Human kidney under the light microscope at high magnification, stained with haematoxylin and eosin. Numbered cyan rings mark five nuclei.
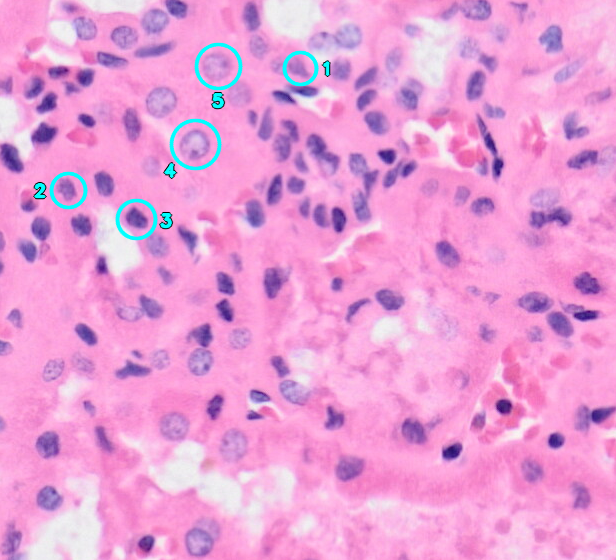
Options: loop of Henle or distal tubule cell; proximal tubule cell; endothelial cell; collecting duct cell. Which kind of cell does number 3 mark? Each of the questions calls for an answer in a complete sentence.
The numeral 3 marks a loop of Henle or distal tubule cell in this section.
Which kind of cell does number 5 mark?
The marked cell with the number 5 is recognised as a proximal tubule cell.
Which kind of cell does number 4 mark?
The nucleus labelled 4 belongs to a proximal tubule cell.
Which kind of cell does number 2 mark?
The cell that goes by number 2 is a loop of Henle or distal tubule cell.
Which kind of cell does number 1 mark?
The numbered cell 1 in this field is a collecting duct cell.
